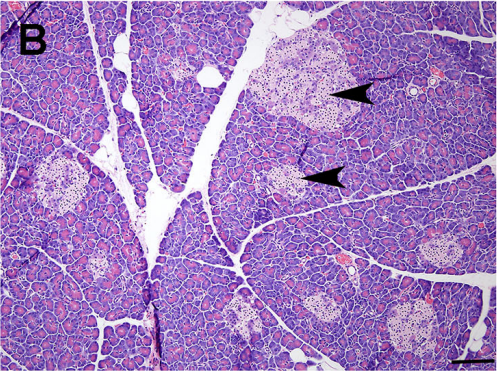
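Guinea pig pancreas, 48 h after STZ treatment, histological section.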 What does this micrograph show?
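Lobules of exocrine tissue with purple-pink cells are separated by thin pale septa. Several islets stand out as pale, washed-out round areas dotted with many small dark fragments, while only a few cells within them keep an intact look.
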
